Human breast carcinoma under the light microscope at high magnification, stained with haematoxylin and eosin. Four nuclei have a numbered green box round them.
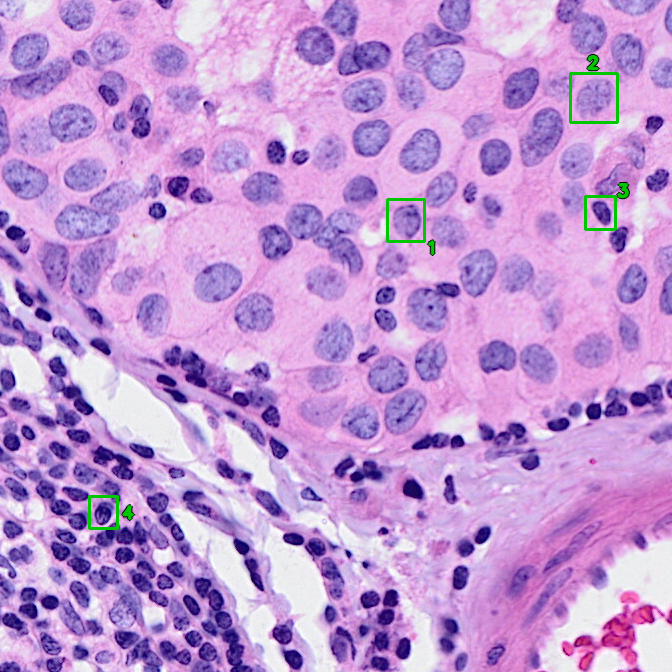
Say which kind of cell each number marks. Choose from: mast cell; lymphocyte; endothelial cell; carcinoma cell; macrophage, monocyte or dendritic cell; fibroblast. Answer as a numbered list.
1. carcinoma cell
2. carcinoma cell
3. lymphocyte
4. lymphocyte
